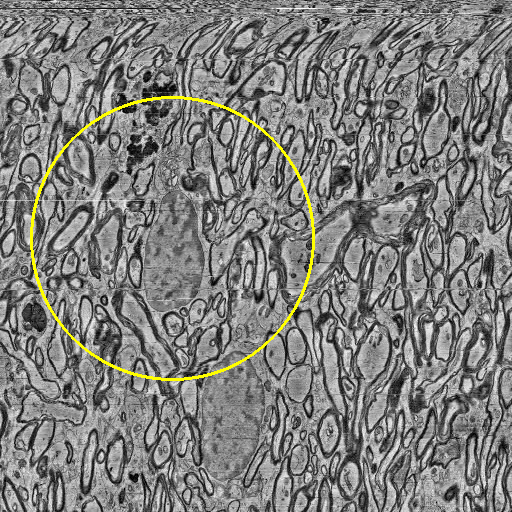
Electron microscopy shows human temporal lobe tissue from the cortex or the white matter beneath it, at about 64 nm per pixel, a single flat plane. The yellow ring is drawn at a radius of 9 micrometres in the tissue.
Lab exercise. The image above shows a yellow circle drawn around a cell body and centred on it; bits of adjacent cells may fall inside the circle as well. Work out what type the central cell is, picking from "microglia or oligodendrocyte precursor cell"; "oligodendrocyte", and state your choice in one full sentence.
In the image above, the cell at the centre of the yellow circle is a microglial cell or oligodendrocyte precursor cell.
